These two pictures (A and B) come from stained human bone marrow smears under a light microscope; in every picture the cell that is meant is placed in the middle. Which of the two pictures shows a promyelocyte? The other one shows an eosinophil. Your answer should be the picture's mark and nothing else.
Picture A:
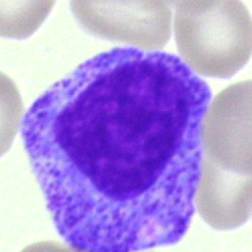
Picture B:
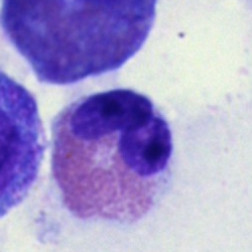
A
